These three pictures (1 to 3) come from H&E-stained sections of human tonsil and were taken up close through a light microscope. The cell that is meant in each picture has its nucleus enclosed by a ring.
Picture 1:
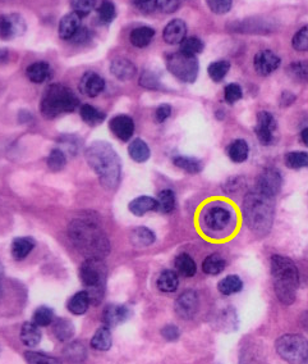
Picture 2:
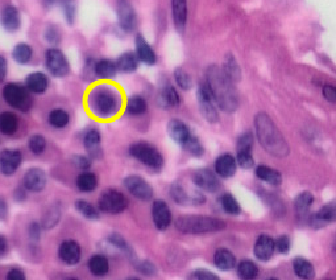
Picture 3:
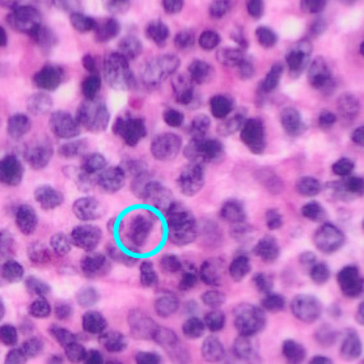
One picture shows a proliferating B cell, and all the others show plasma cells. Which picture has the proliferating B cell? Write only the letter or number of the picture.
3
